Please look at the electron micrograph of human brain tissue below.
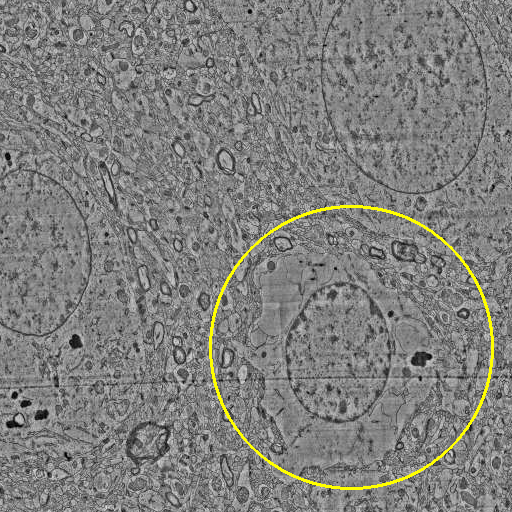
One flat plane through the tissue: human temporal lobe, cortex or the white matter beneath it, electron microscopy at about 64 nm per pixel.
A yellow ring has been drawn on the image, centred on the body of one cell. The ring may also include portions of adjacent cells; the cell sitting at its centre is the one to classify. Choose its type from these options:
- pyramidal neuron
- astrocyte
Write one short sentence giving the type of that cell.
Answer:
The cell in the middle of the ring is an astrocyte.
